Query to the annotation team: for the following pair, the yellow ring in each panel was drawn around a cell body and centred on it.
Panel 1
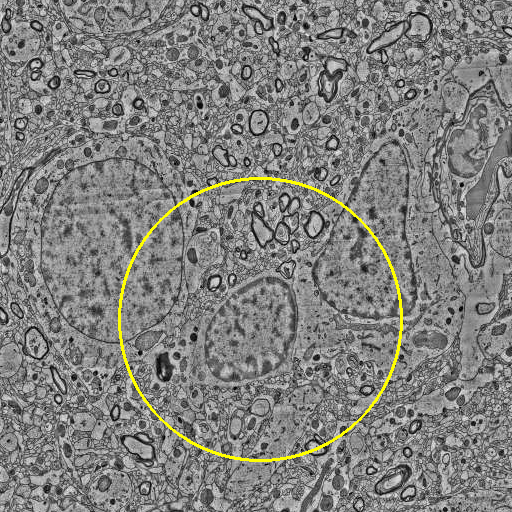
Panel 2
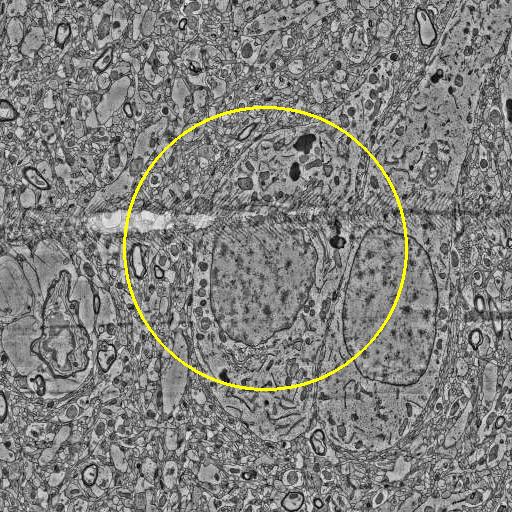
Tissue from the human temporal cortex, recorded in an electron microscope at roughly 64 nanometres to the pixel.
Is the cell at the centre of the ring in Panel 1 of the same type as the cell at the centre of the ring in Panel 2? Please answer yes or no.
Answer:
no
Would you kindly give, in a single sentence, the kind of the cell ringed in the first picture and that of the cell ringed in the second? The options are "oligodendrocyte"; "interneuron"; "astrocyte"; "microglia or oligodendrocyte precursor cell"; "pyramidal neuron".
The second cell is an interneuron, and the first cell is an oligodendrocyte.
